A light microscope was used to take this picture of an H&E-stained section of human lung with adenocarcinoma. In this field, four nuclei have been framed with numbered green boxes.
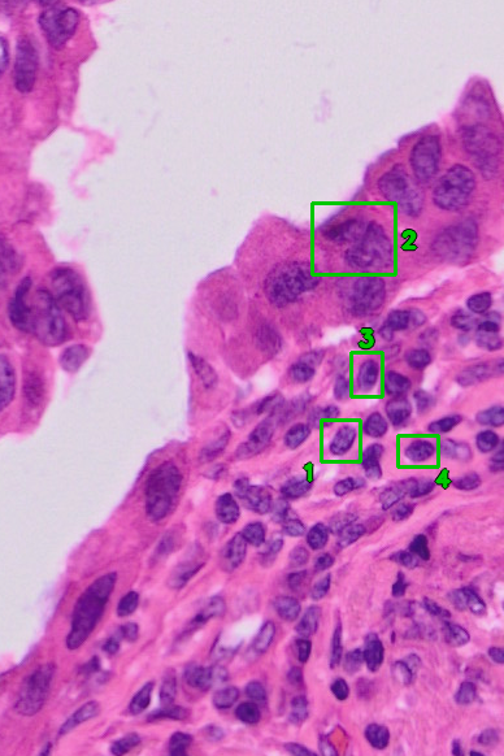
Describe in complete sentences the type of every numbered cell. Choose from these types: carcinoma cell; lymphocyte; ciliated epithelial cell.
Cells 1, 3 and 4 are lymphocytes. Cell 2 is a carcinoma cell.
